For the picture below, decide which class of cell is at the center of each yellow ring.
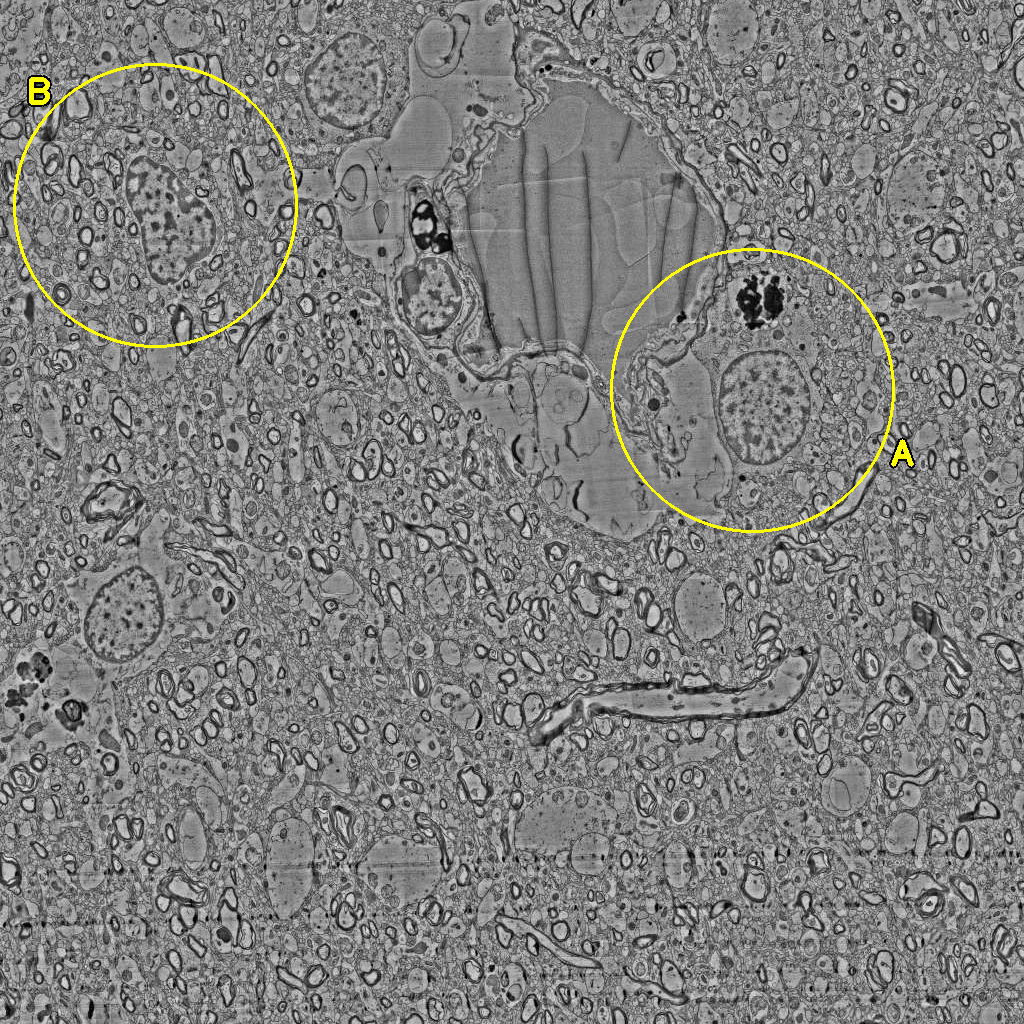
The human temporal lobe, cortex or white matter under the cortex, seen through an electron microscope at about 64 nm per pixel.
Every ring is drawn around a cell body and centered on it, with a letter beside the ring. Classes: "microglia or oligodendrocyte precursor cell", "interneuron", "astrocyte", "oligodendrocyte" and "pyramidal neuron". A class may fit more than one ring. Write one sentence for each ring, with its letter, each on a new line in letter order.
Centered in ring A is an oligodendrocyte.
Centered in ring B is a microglial cell or oligodendrocyte precursor cell.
